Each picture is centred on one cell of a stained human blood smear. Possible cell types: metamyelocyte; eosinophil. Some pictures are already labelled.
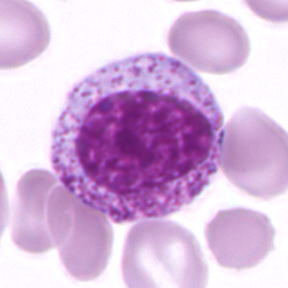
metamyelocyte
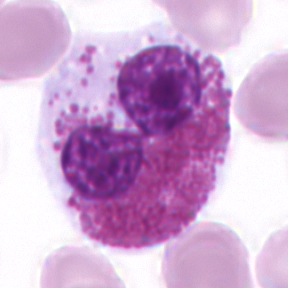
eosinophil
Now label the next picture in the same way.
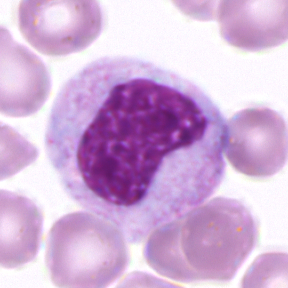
metamyelocyte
